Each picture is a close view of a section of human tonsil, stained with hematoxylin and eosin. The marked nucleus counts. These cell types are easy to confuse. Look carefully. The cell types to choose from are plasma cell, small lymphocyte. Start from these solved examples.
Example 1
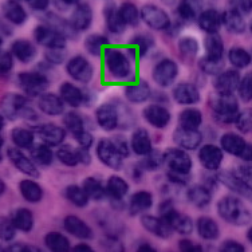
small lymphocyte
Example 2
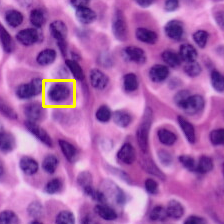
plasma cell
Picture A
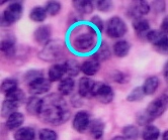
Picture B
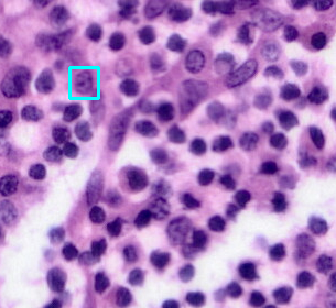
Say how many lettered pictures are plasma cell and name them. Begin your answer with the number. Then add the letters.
1, namely B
